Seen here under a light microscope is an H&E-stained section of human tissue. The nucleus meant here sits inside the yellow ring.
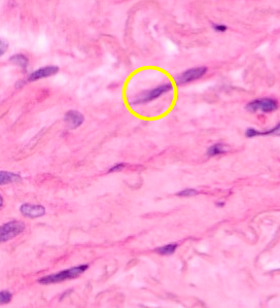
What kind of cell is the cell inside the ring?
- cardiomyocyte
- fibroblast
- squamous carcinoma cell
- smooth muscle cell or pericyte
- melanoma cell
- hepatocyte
smooth muscle cell or pericyte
